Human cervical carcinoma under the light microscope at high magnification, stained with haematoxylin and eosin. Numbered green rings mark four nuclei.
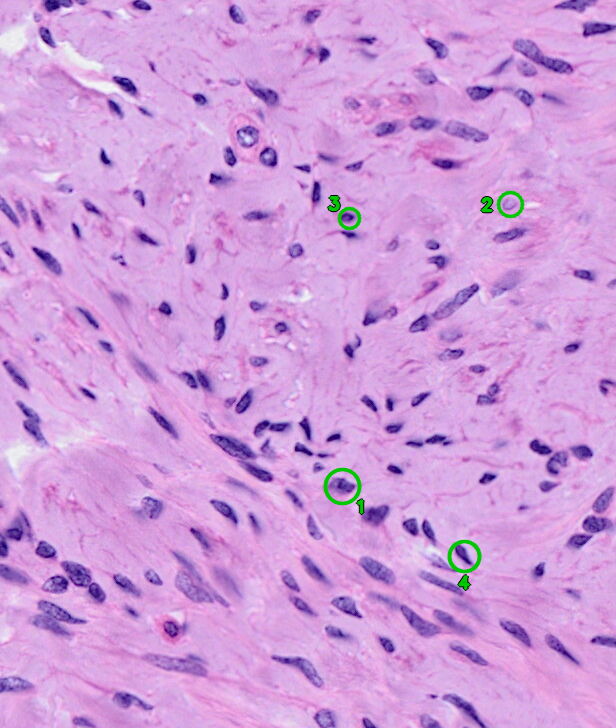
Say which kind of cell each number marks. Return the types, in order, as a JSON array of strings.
["fibroblast", "smooth muscle cell", "fibroblast", "fibroblast"]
